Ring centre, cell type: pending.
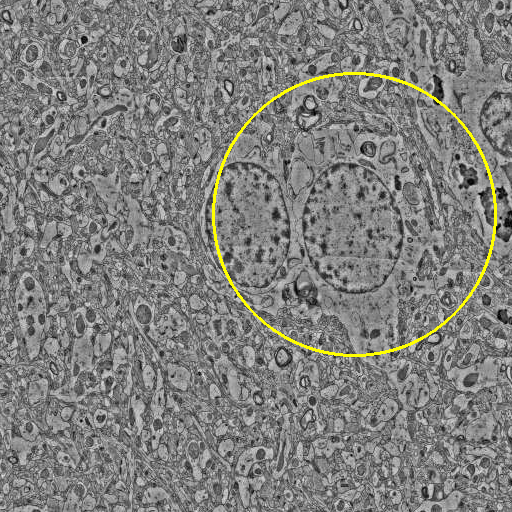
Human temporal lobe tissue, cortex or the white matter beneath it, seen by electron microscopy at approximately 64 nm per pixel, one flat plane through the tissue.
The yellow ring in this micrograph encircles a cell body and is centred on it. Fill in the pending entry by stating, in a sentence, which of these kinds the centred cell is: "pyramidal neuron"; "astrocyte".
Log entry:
The centred cell is recorded as an astrocyte.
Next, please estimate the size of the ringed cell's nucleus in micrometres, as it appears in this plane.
Roughly 8 micrometres by 6 micrometres, in this plane.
